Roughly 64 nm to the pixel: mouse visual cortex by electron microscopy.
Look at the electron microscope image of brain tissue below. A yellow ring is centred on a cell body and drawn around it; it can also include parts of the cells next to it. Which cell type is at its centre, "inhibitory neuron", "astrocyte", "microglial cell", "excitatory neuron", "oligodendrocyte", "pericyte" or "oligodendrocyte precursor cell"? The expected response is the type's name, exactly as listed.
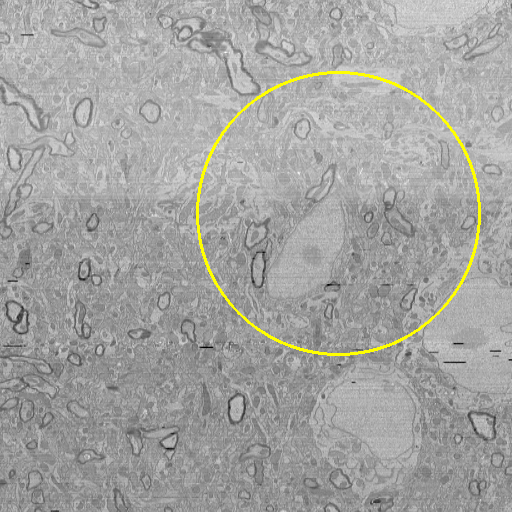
oligodendrocyte precursor cell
